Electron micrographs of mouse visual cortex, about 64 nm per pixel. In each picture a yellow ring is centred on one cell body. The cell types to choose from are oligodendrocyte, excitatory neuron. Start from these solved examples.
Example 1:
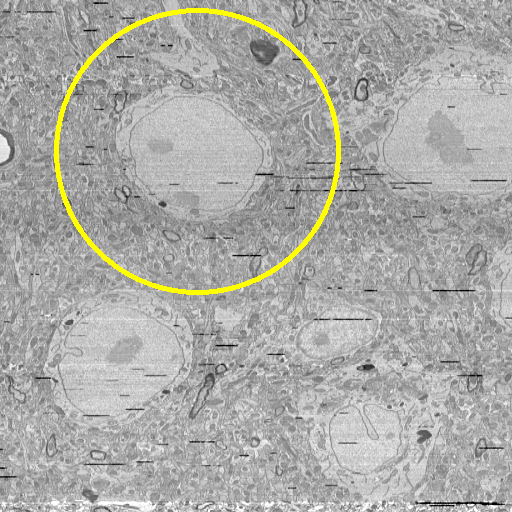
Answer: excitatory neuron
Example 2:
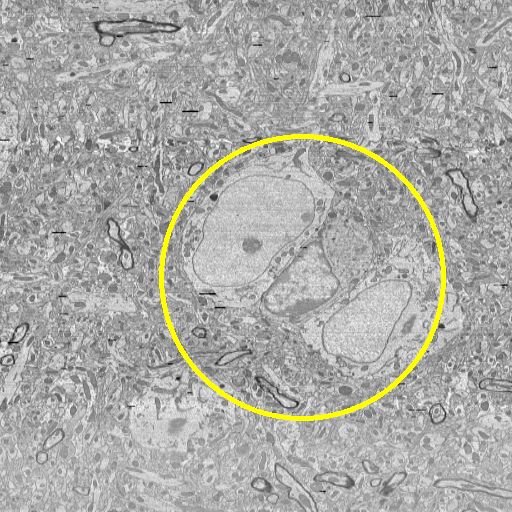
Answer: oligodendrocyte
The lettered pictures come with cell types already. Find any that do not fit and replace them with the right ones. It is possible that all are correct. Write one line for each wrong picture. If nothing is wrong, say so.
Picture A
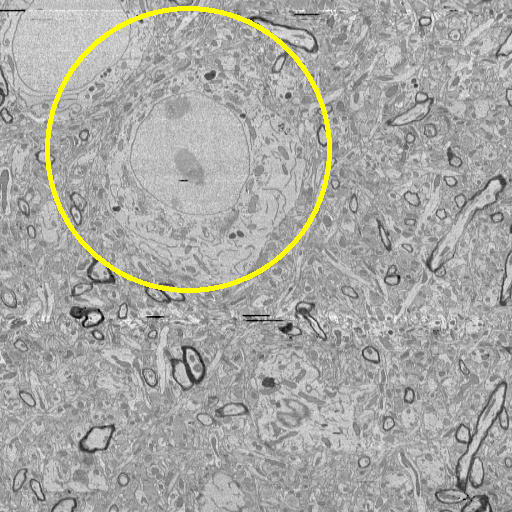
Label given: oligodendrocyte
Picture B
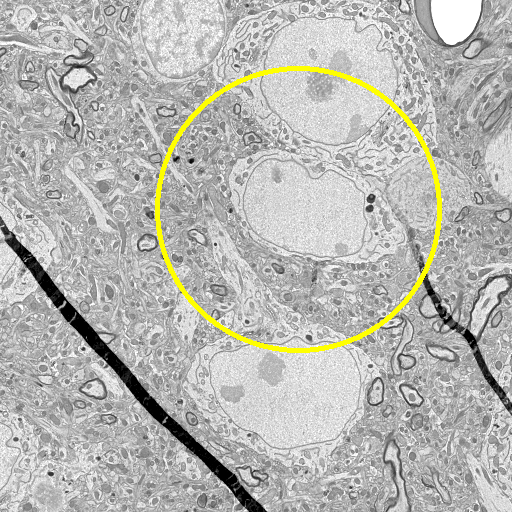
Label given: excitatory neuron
A: change oligodendrocyte to excitatory neuron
